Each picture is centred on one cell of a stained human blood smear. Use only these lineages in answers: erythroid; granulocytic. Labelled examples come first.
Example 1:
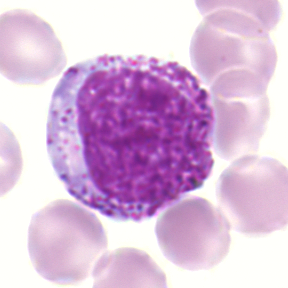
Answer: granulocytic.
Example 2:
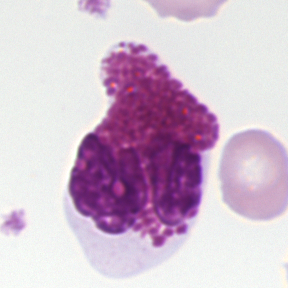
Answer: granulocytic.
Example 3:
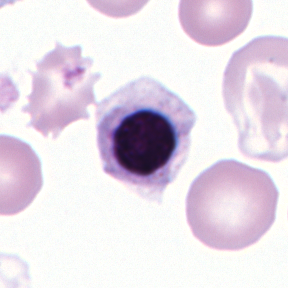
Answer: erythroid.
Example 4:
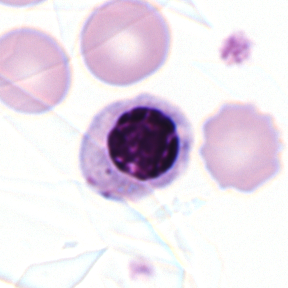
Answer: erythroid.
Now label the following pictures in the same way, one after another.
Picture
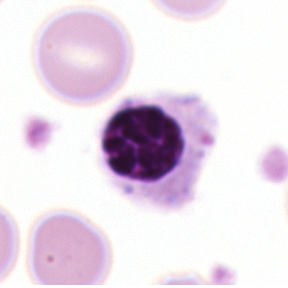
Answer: erythroid.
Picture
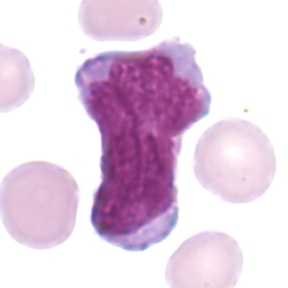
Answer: granulocytic.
